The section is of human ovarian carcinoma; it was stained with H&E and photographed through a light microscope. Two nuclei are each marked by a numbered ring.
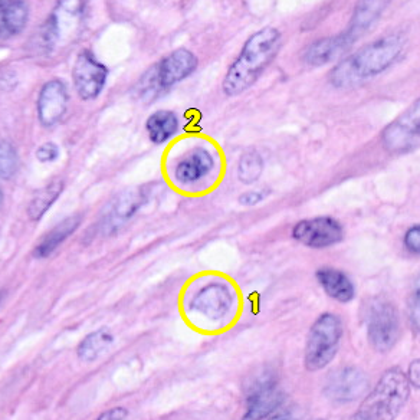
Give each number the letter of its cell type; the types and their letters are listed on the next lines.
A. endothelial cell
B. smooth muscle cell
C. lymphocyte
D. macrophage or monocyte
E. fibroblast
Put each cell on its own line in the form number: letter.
1: E
2: C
